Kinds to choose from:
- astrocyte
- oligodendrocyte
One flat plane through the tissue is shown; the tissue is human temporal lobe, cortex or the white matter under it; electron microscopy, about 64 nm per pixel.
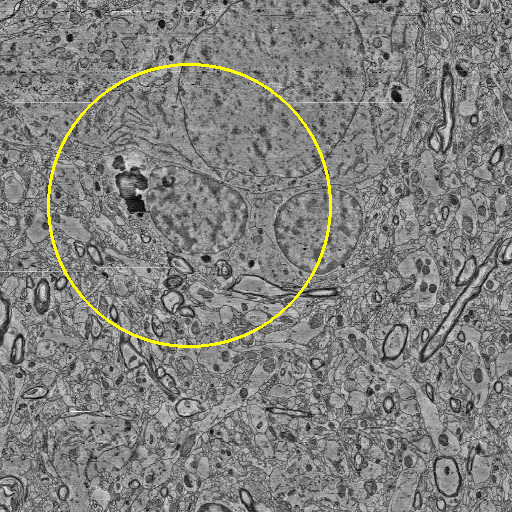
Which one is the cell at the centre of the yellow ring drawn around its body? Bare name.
oligodendrocyte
